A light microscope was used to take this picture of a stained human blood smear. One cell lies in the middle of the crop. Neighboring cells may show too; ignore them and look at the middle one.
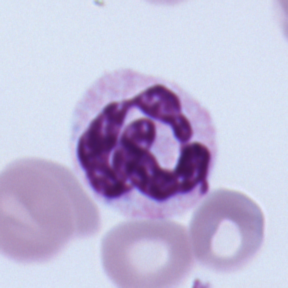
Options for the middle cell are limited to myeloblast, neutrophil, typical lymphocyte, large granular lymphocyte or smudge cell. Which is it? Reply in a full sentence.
The cell centred in this crop is categorized as a neutrophil.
